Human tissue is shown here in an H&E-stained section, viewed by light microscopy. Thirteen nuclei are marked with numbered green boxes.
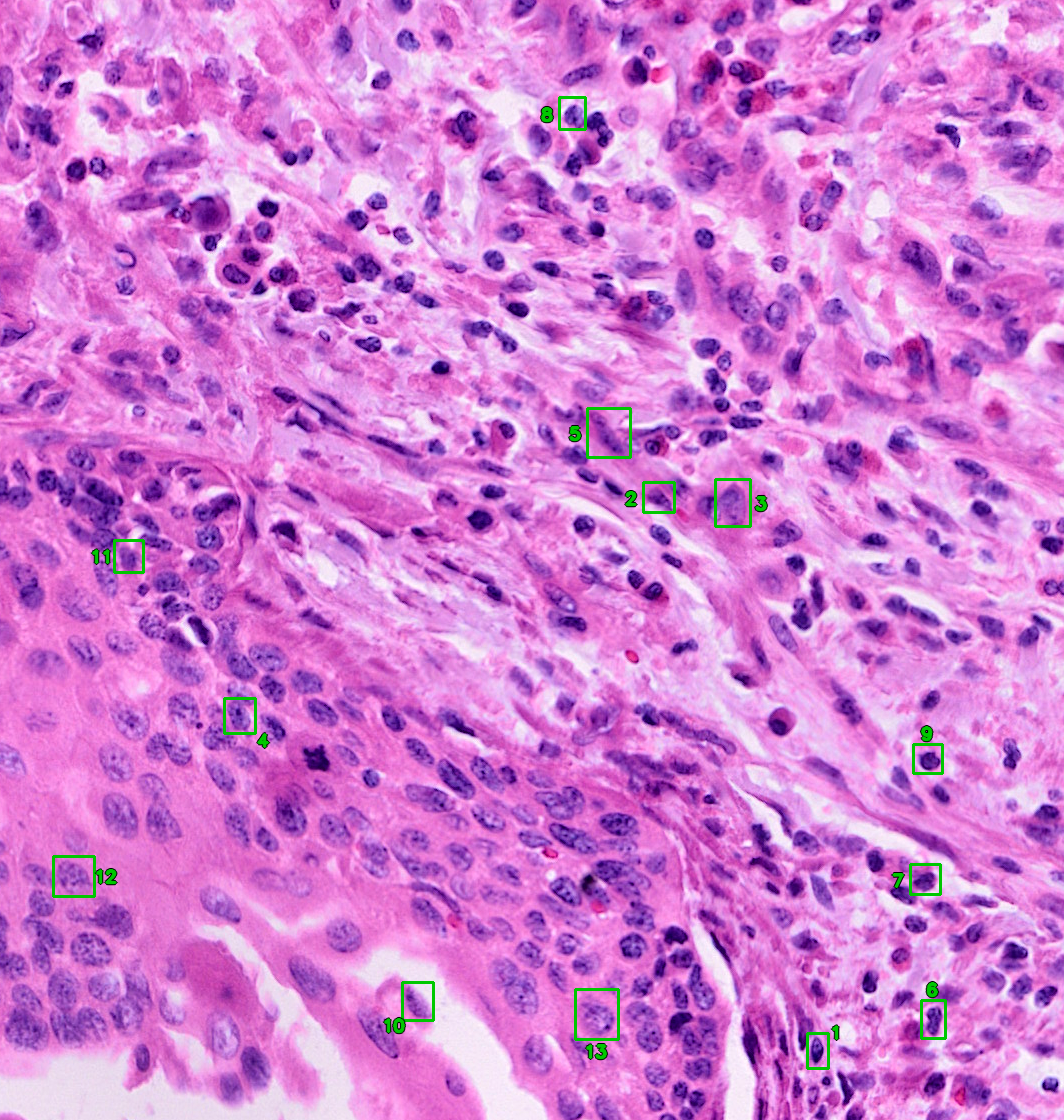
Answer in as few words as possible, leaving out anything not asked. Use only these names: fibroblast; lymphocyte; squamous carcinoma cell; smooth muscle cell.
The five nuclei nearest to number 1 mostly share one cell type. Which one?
fibroblast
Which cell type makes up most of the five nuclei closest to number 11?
squamous carcinoma cell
